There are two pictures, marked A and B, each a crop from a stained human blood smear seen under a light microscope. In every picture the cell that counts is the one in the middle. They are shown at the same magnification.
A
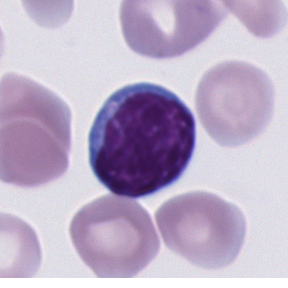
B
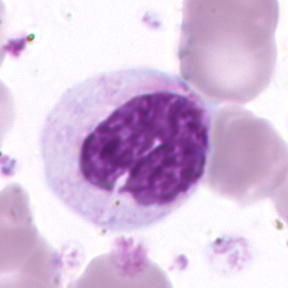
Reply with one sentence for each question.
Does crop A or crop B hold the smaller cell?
Smaller is the cell in crop A, and the other is about 2 times as large in area.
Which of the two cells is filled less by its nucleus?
In crop B the nucleus takes up the smaller part of its cell.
